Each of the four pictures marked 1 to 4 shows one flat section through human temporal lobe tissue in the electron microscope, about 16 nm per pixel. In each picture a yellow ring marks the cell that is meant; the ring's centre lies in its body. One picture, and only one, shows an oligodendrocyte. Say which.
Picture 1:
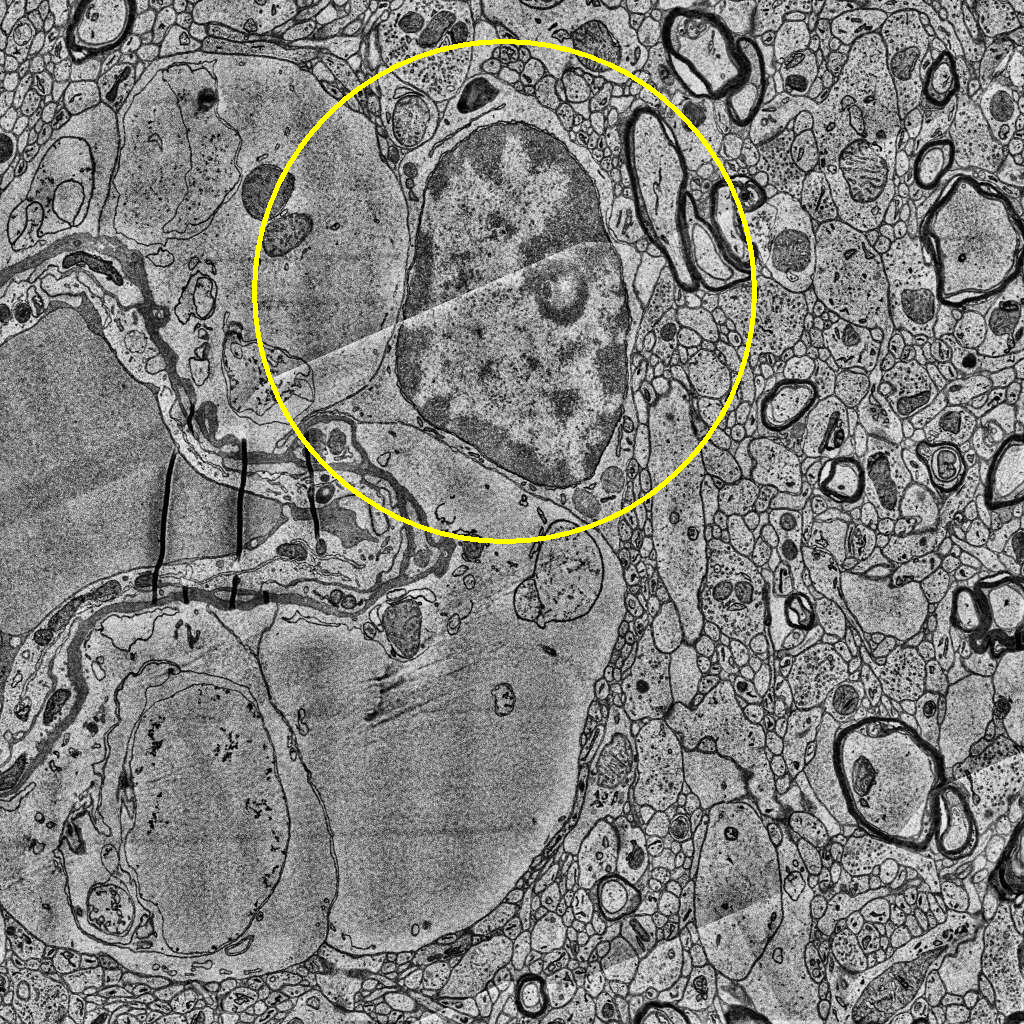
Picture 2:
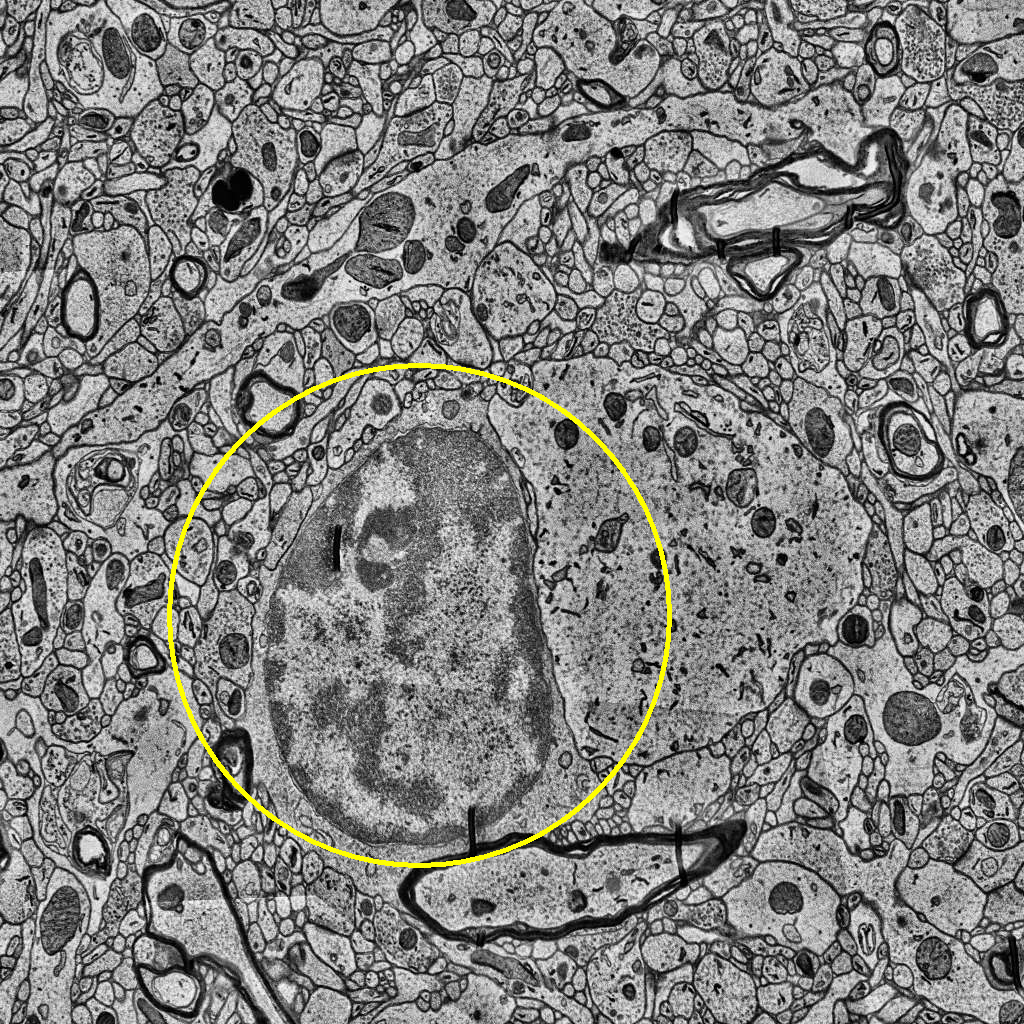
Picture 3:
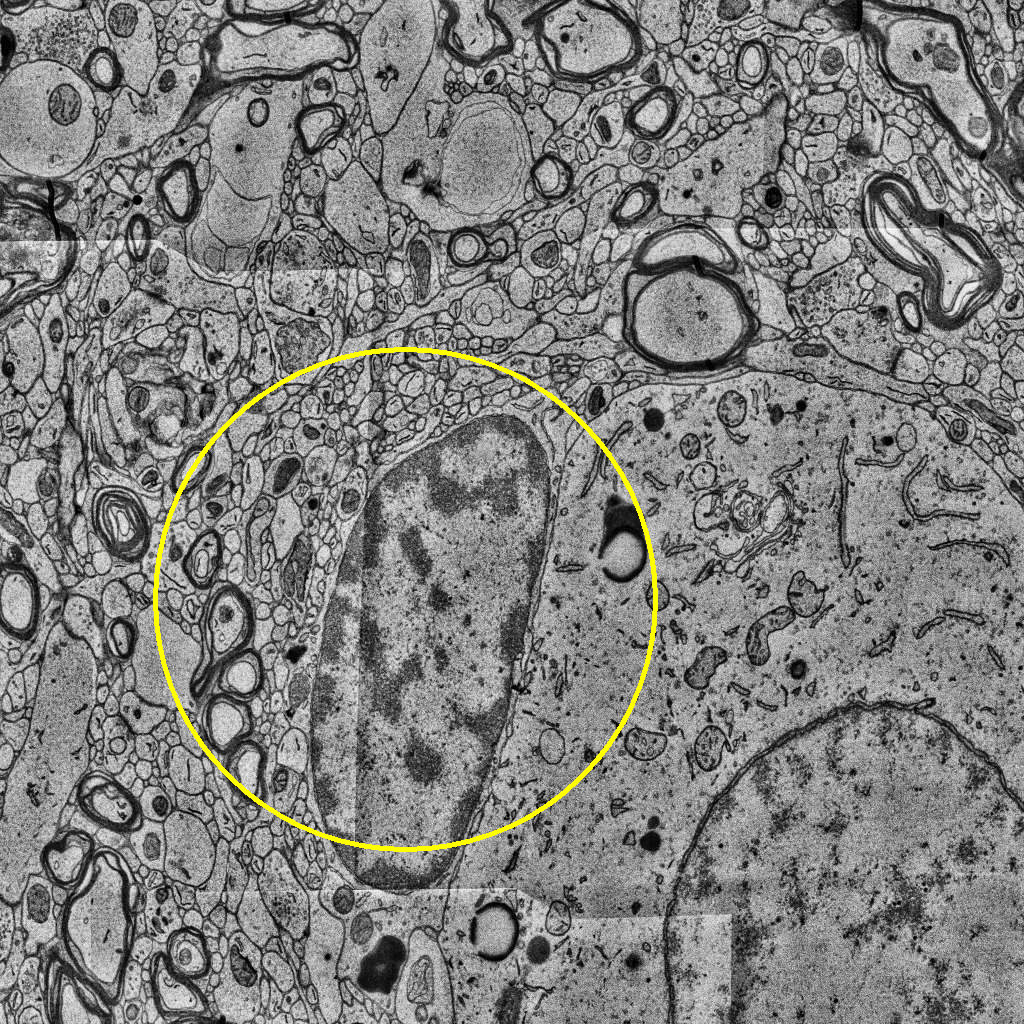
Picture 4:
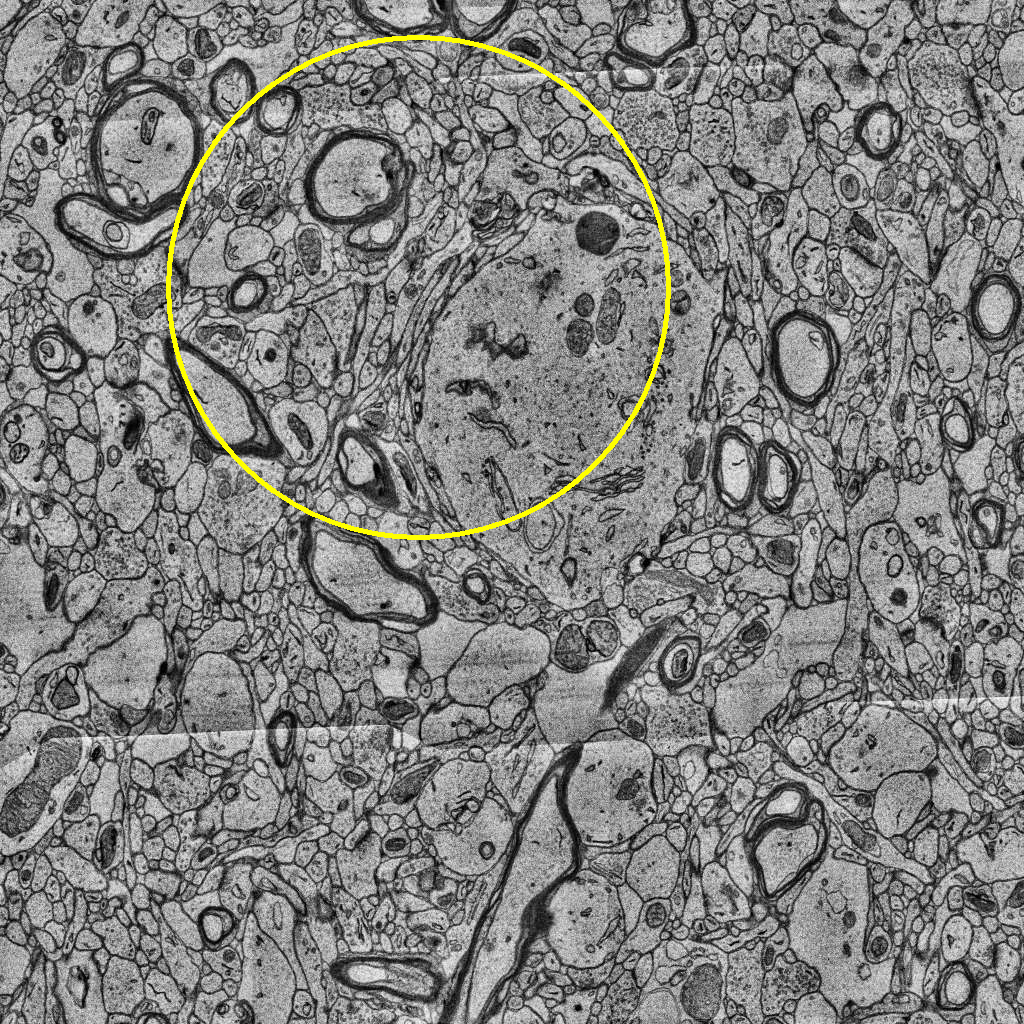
The cell in picture 2 is the oligodendrocyte.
